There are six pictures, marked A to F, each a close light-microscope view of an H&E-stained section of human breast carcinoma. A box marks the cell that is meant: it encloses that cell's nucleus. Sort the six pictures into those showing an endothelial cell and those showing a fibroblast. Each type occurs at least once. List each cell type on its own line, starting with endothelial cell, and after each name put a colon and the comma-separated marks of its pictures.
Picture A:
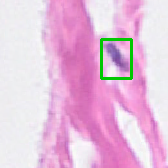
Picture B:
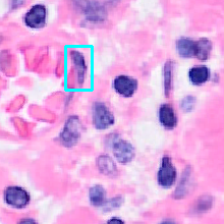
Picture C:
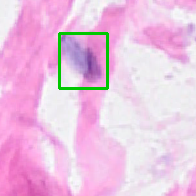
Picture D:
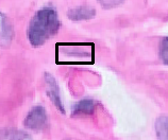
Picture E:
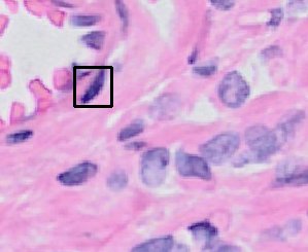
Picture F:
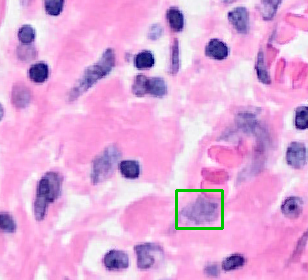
endothelial cell: B, D, E, F
fibroblast: A, C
